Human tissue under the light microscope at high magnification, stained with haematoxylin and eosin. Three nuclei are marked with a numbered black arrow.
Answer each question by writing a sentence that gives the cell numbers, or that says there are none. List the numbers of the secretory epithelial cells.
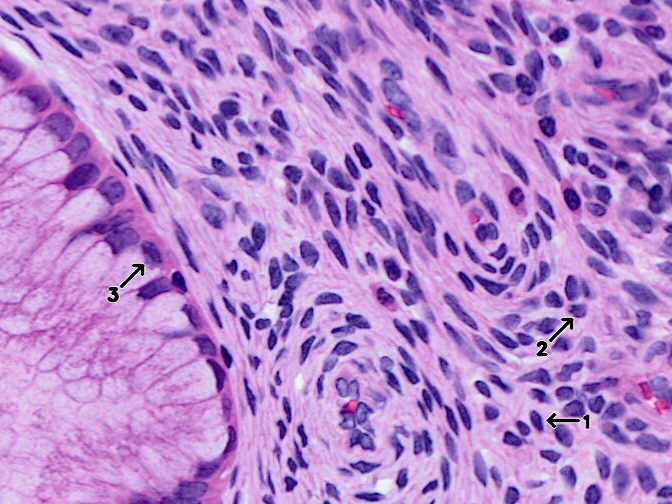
A single numbered cell, cell 3, is a secretory epithelial cell.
